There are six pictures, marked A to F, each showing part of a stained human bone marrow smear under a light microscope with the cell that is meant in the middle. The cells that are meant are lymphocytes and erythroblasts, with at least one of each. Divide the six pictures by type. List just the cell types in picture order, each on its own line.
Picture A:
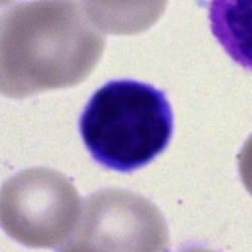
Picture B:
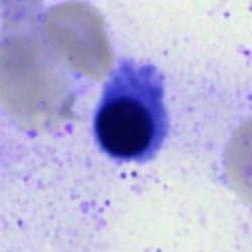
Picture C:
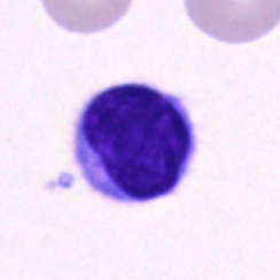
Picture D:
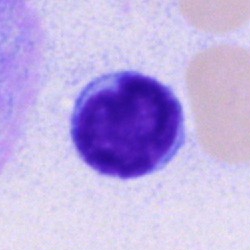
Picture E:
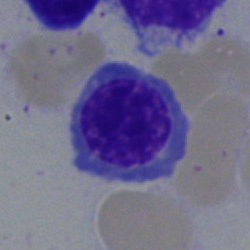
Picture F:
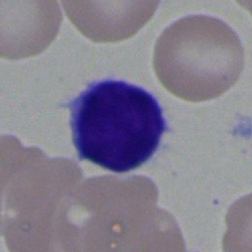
lymphocyte
erythroblast
lymphocyte
lymphocyte
erythroblast
lymphocyte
